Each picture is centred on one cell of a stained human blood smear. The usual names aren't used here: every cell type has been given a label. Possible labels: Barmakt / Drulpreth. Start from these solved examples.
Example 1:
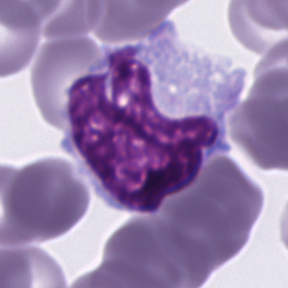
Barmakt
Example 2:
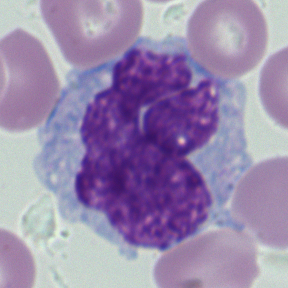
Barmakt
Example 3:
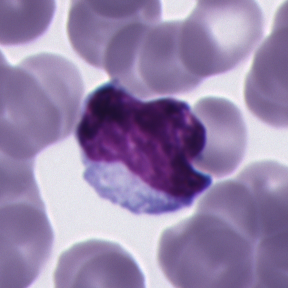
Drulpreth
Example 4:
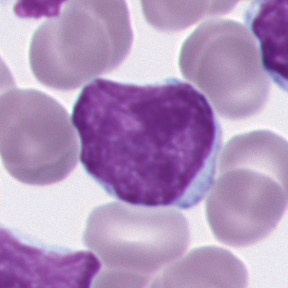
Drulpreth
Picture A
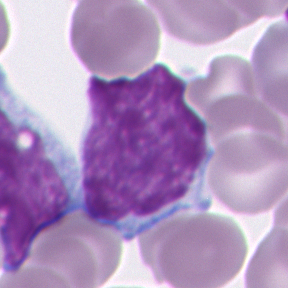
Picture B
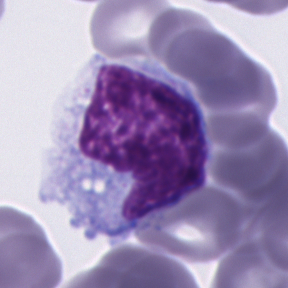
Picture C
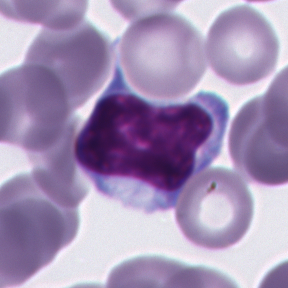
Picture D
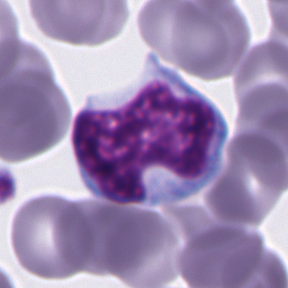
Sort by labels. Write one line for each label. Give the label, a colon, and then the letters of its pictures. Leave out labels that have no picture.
Barmakt: B
Drulpreth: A, C, D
